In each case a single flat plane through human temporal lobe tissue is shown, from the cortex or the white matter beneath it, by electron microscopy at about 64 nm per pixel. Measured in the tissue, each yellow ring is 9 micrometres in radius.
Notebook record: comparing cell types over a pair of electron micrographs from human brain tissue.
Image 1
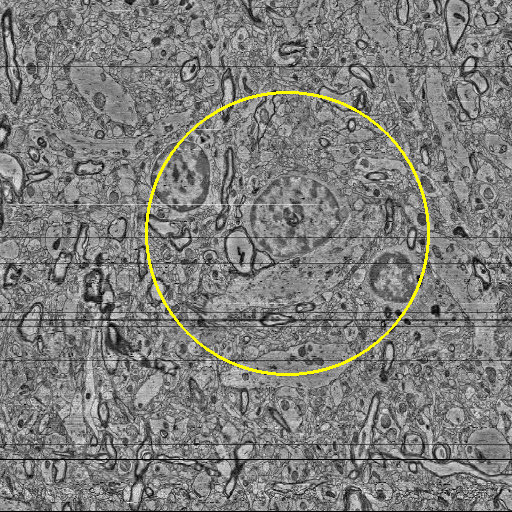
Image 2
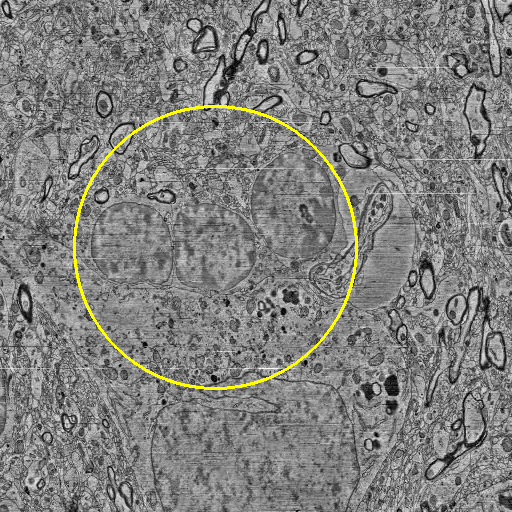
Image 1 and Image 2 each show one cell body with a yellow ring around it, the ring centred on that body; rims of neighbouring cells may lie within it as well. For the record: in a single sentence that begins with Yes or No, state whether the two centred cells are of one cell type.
Yes, one cell type is shared by the centred cells of Image 1 and Image 2.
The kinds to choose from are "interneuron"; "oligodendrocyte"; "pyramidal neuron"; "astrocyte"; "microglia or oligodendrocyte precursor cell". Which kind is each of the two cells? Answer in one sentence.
Both pictures show an oligodendrocyte at the centre of the ring.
